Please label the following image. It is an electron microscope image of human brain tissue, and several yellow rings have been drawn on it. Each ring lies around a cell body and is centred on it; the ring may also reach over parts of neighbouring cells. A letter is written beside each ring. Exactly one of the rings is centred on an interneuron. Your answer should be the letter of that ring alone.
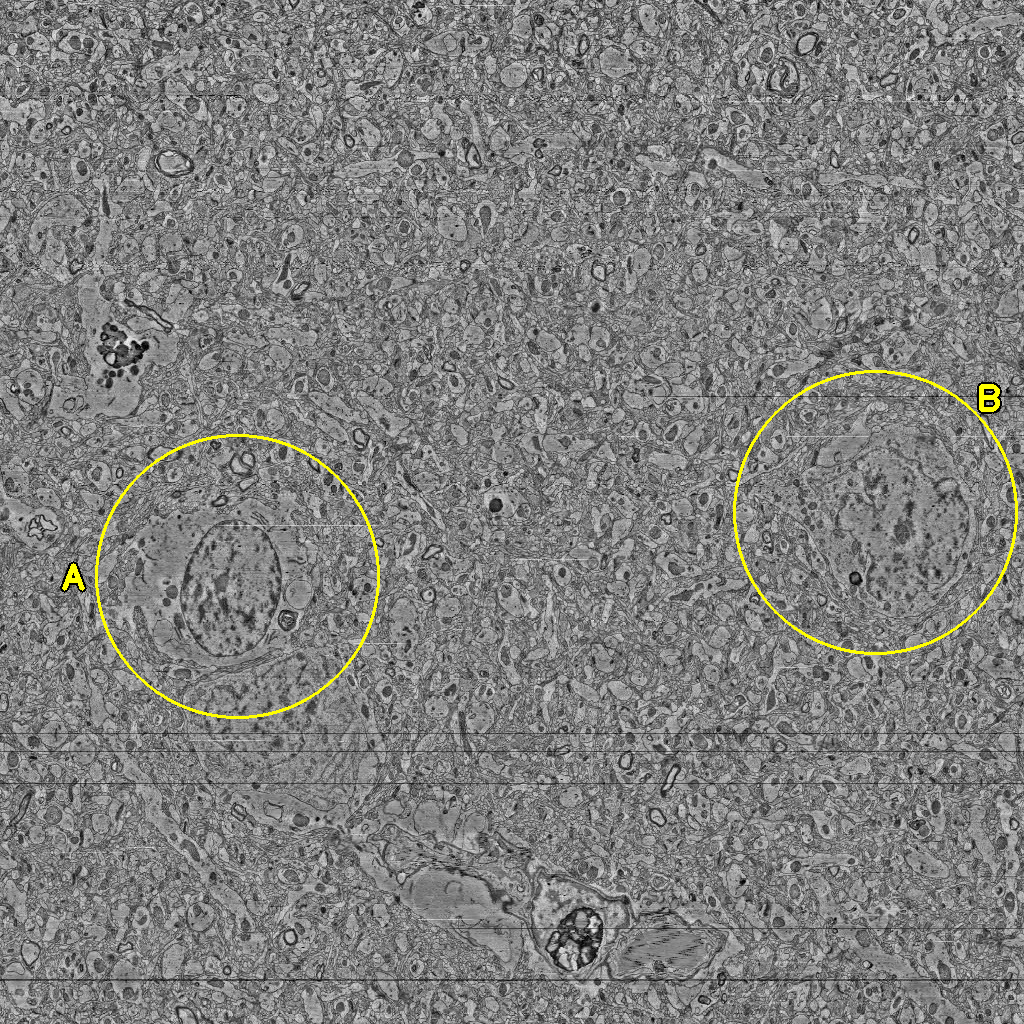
B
